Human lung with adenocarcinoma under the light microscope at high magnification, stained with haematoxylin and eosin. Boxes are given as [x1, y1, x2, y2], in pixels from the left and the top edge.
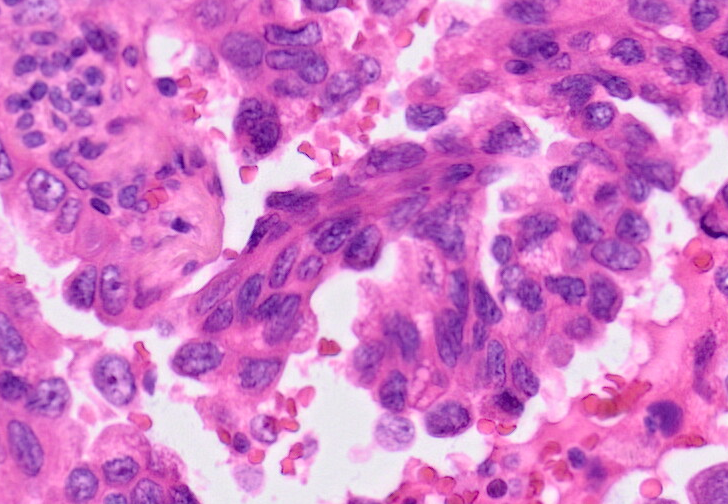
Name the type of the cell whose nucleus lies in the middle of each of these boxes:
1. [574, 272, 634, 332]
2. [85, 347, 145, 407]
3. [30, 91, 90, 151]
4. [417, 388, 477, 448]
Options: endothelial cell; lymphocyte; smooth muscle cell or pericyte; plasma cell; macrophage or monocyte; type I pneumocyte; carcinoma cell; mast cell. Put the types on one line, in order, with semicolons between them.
carcinoma cell; carcinoma cell; lymphocyte; carcinoma cell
